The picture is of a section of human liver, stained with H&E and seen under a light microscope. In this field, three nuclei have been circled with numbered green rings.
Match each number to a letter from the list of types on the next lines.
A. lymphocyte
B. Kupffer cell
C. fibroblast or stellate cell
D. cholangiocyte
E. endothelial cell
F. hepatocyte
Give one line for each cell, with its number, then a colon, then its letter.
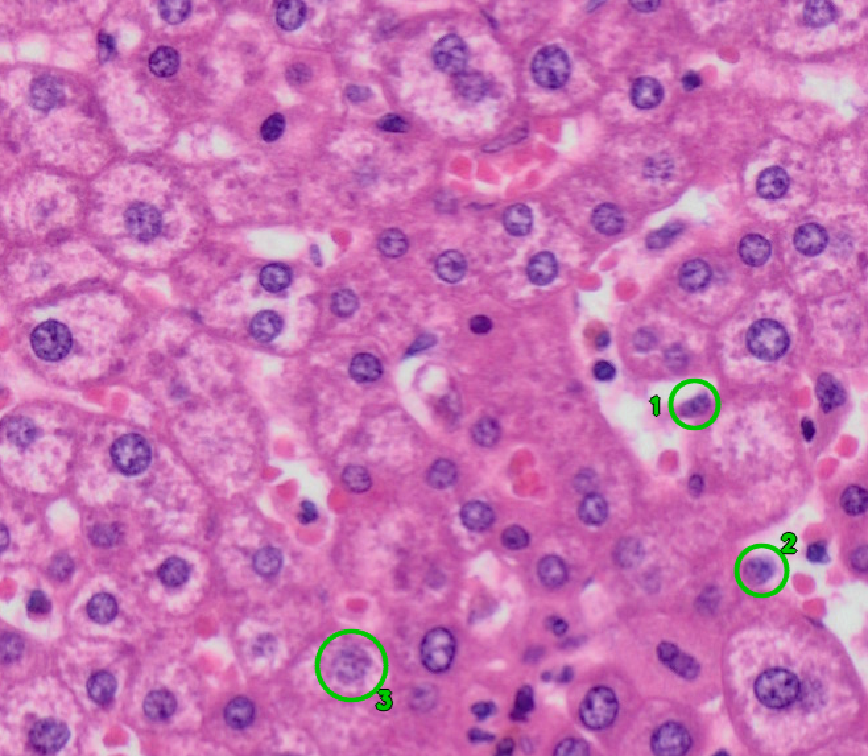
1: B
2: E
3: F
